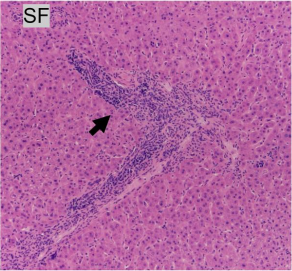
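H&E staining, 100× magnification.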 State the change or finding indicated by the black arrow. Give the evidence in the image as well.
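Lymphocyte infiltration. A dense band of small, dark purple round nuclei lies along a branching vessel-like tract. The surrounding tissue consists of pink polygonal cells in cords.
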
